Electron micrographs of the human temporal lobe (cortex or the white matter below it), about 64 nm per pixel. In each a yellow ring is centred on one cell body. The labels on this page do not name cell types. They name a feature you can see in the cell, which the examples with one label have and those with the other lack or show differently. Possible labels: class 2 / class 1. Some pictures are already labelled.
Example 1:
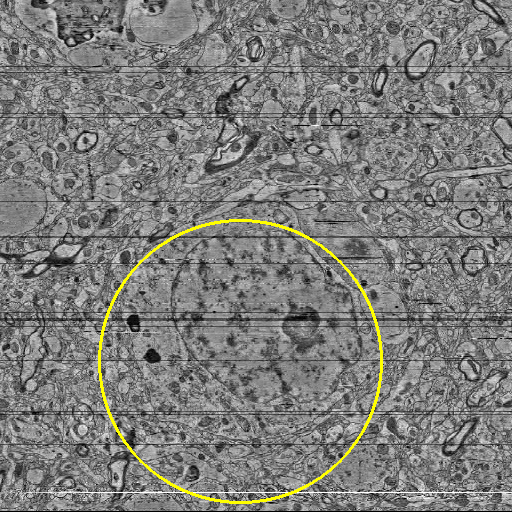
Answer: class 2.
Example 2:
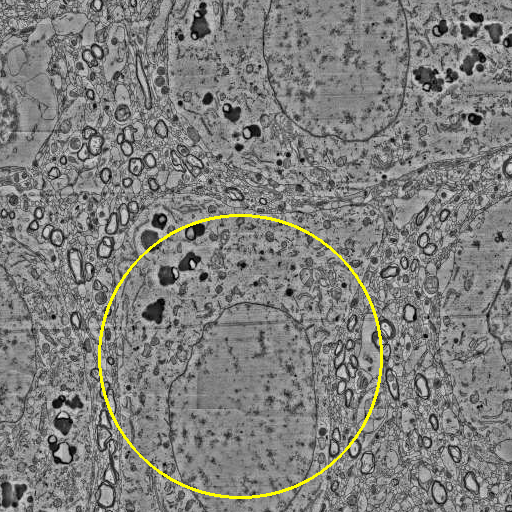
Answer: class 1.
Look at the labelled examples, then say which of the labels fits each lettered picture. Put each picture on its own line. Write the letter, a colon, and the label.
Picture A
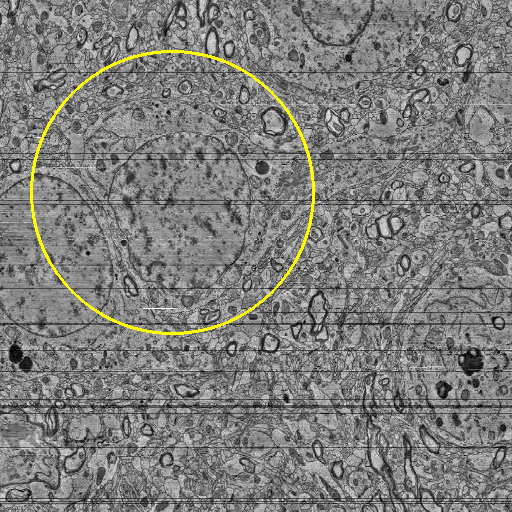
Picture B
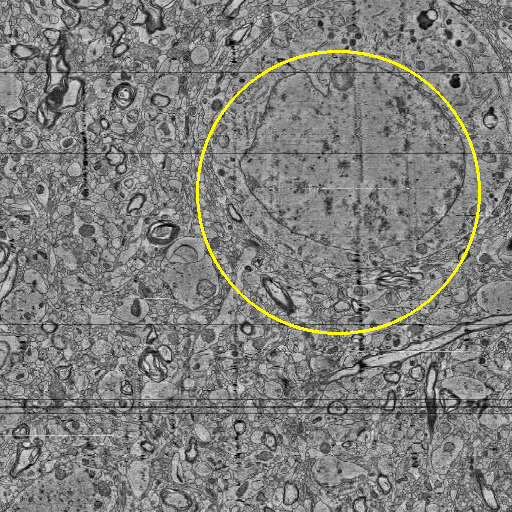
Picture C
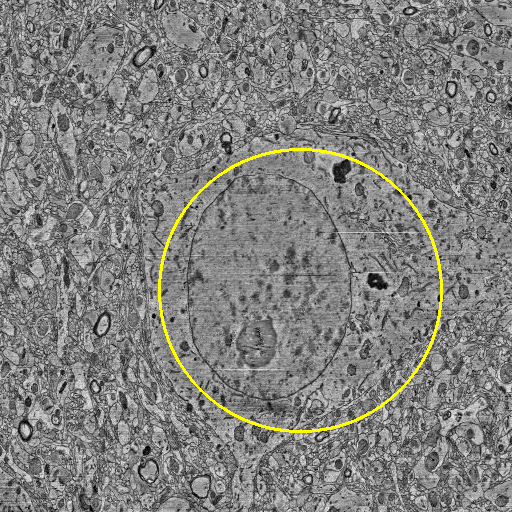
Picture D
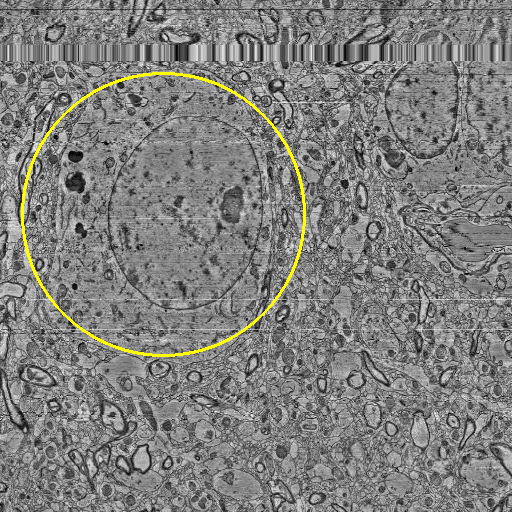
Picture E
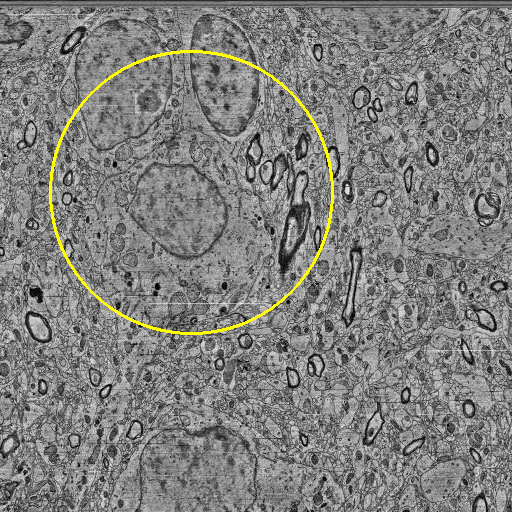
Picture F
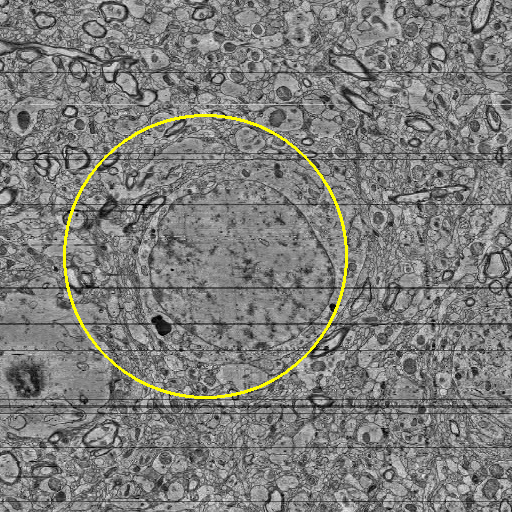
A: class 1.
B: class 1.
C: class 2.
D: class 2.
E: class 1.
F: class 1.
